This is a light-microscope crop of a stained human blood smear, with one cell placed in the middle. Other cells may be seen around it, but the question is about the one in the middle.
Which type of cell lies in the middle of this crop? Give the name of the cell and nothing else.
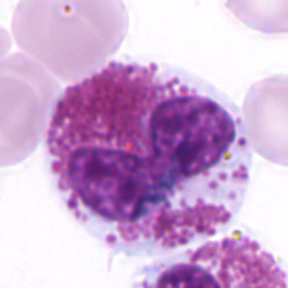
eosinophil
